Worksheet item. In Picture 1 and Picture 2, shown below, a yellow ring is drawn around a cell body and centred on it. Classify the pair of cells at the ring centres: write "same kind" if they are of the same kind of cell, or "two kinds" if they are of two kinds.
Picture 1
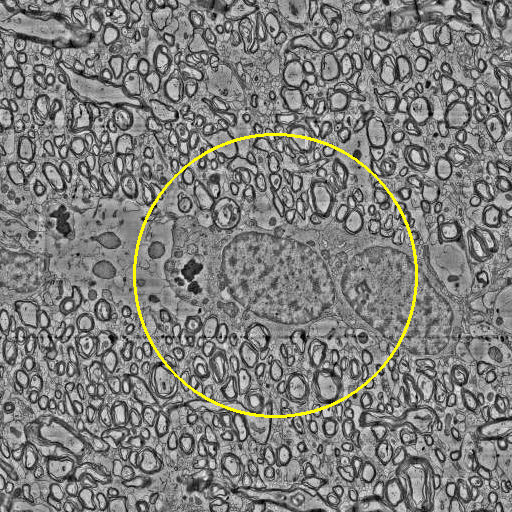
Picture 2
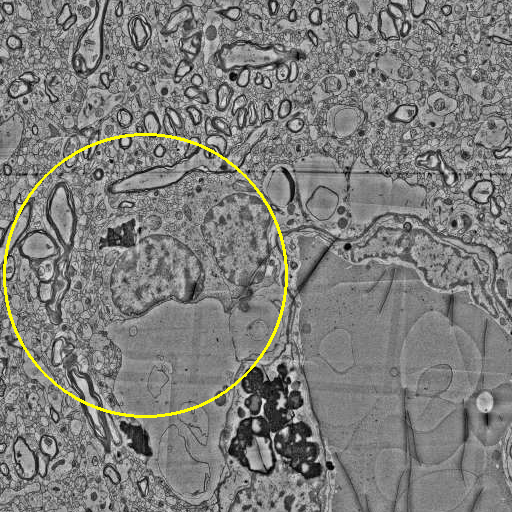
same kind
